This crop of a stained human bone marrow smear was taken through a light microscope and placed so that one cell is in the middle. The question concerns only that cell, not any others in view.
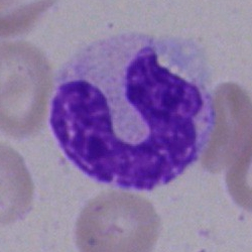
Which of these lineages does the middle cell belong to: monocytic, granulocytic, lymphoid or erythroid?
granulocytic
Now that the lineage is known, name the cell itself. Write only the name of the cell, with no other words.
band neutrophil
